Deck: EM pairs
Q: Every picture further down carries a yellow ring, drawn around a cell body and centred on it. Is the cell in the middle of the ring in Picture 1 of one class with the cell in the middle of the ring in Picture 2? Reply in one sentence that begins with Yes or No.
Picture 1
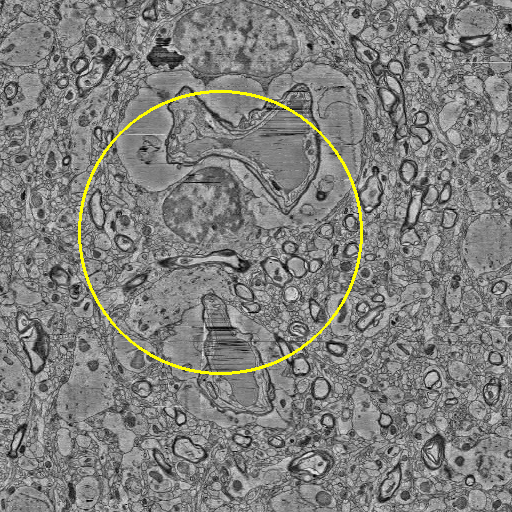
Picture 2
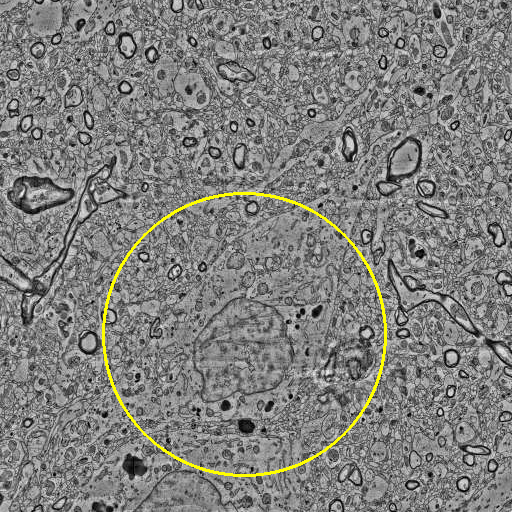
No, the cell centred in the ring of Picture 1 and the one in Picture 2 belong to separate classes.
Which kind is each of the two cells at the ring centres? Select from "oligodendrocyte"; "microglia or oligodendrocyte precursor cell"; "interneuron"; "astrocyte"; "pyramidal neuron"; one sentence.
The cell at the centre of the ring is an oligodendrocyte in the first picture and a pyramidal neuron in the second.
